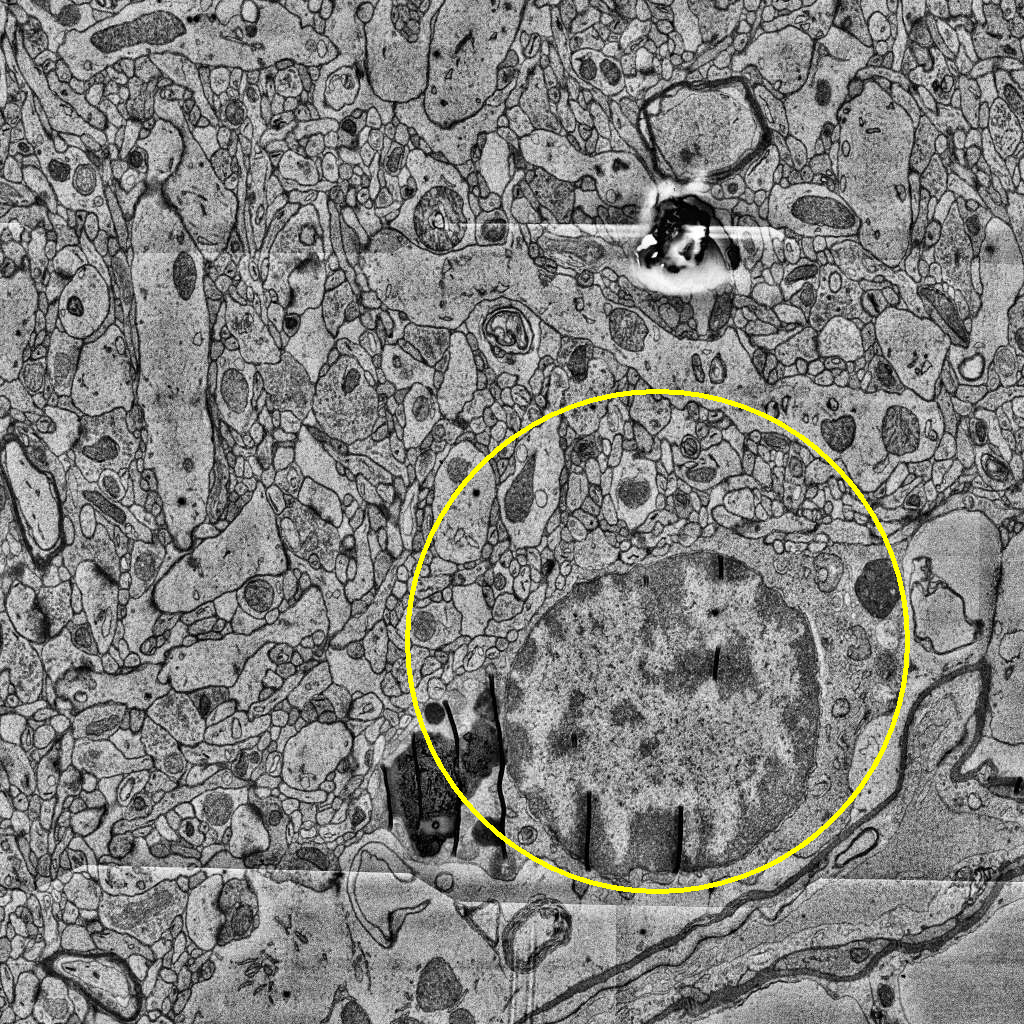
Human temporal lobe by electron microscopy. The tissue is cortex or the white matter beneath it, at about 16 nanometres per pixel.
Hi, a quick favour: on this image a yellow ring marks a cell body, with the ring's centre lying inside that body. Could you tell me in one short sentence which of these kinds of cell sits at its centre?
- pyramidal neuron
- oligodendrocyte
The ring's centre lies in an oligodendrocyte.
